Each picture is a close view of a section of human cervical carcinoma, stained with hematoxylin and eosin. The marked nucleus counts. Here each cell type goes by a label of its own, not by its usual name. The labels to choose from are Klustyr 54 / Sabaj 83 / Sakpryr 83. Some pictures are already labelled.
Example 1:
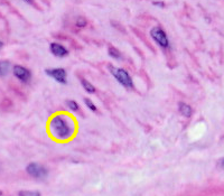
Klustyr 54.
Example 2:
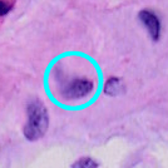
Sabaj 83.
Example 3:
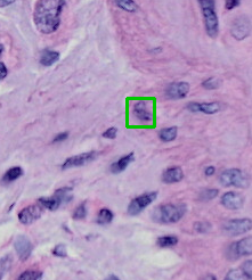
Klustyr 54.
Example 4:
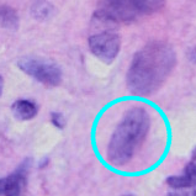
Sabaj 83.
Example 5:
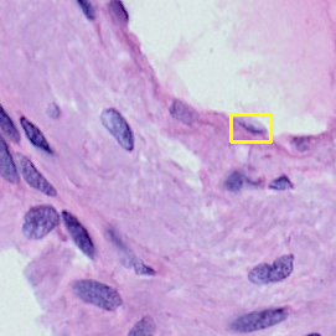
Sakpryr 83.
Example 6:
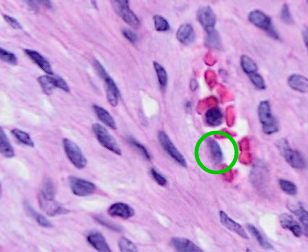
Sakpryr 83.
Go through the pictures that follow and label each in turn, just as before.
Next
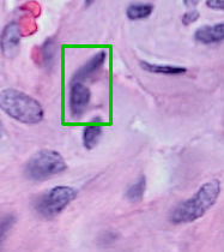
Sabaj 83.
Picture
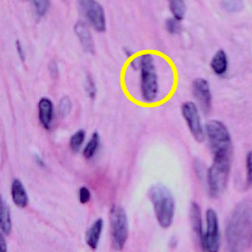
Sabaj 83.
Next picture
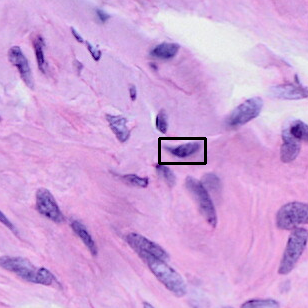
Sabaj 83.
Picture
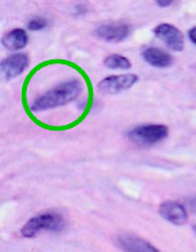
Sabaj 83.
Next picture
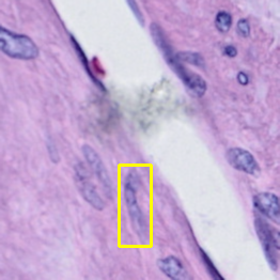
Klustyr 54.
